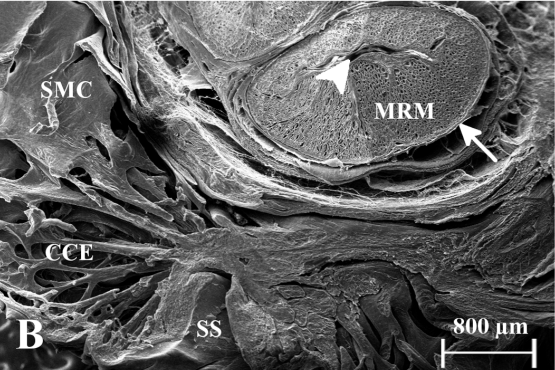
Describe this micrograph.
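This cross-section shows the large retractor muscle of the hemipenis as an oval, finely textured mass wrapped in concentric sheets of tissue. Beside and below it lie layered sheets of smooth muscle and a spongy cavernous body made of thin trabeculae separating open spaces, next to the groove of the sperm channel.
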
